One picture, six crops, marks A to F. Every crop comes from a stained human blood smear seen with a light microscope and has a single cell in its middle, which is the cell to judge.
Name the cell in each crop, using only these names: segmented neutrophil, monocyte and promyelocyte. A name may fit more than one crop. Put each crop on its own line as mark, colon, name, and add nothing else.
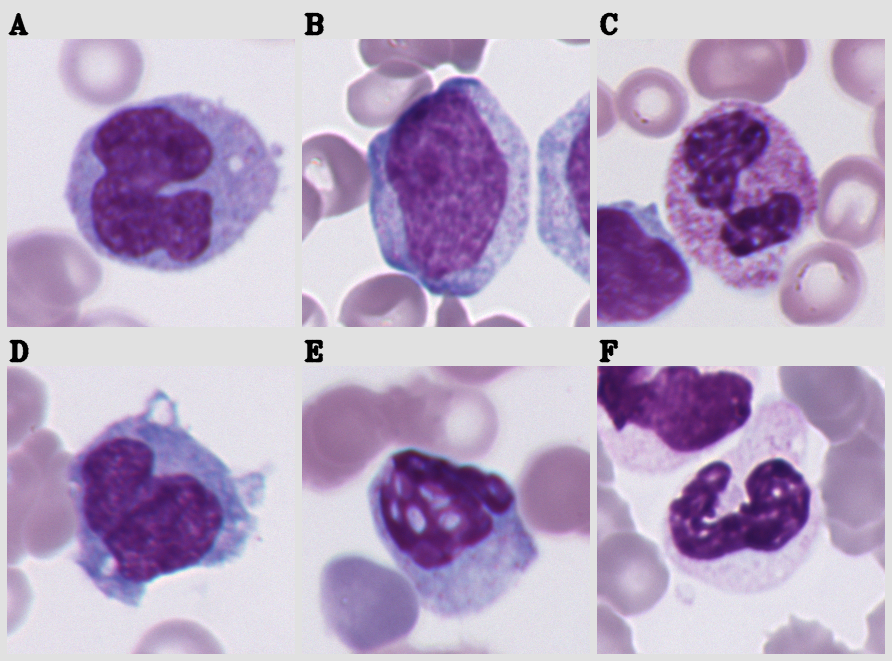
A: monocyte
B: promyelocyte
C: segmented neutrophil
D: monocyte
E: monocyte
F: segmented neutrophil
